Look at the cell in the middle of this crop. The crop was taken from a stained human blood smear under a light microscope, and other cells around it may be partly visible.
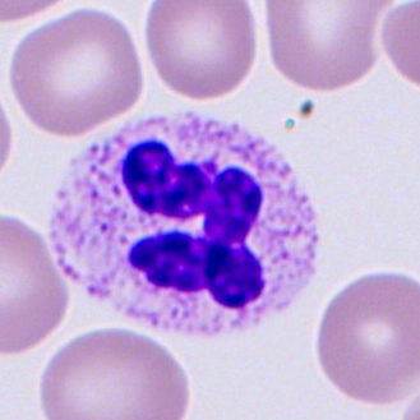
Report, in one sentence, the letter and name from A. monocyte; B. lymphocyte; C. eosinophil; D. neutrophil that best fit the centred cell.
The correct option is D, as the central cell is a neutrophil.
